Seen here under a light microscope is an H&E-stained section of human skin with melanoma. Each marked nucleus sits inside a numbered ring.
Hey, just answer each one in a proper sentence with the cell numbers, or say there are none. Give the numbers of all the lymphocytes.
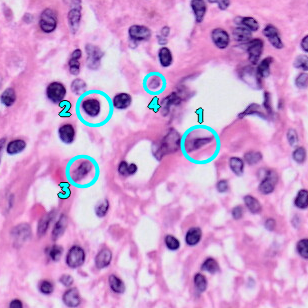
None but cell 2 among the numbered cells is a lymphocyte.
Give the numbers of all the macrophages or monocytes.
Cells 3 and 4 are classified as macrophages or monocytes.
